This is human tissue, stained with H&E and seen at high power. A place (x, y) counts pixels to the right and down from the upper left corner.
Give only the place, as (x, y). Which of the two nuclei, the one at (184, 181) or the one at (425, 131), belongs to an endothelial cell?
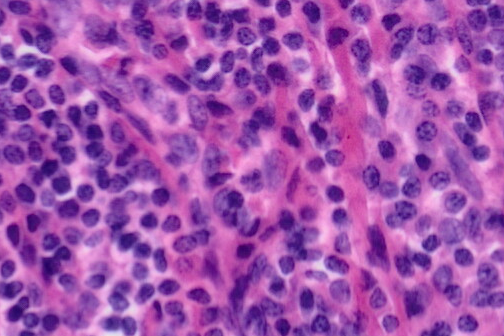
(184, 181)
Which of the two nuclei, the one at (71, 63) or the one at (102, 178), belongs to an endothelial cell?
(71, 63)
